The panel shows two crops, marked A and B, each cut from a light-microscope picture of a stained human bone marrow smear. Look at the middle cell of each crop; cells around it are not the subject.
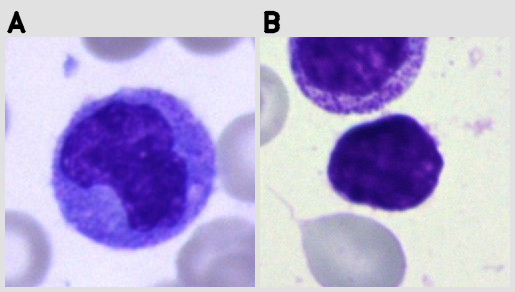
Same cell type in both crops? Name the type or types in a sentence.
No, what crop A shows is a monocyte, and what crop B shows is a lymphocyte.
